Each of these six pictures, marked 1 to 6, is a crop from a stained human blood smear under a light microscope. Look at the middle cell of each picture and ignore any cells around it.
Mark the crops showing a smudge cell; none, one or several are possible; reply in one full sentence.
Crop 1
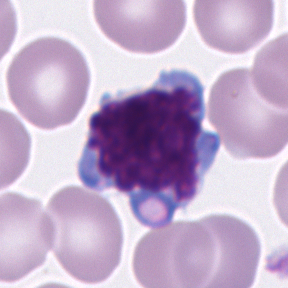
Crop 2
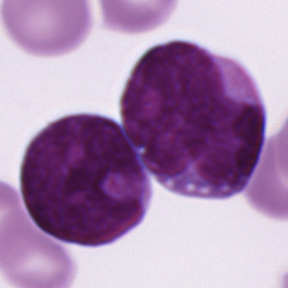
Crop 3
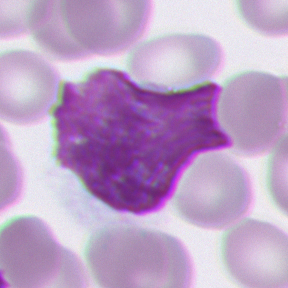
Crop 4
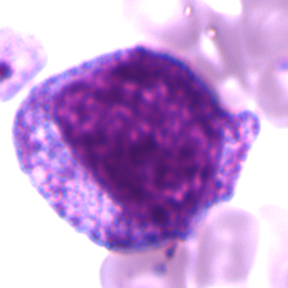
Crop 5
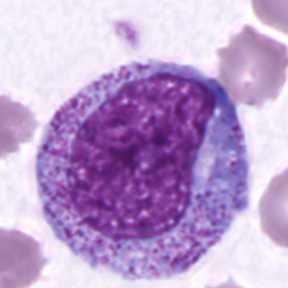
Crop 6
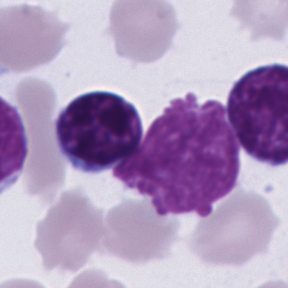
No other crop besides crop 3 shows a smudge cell.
